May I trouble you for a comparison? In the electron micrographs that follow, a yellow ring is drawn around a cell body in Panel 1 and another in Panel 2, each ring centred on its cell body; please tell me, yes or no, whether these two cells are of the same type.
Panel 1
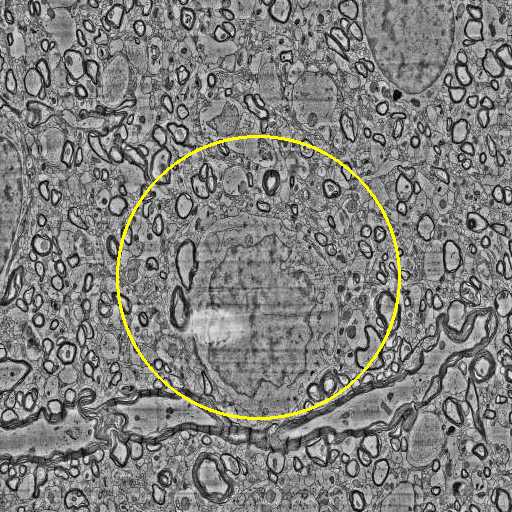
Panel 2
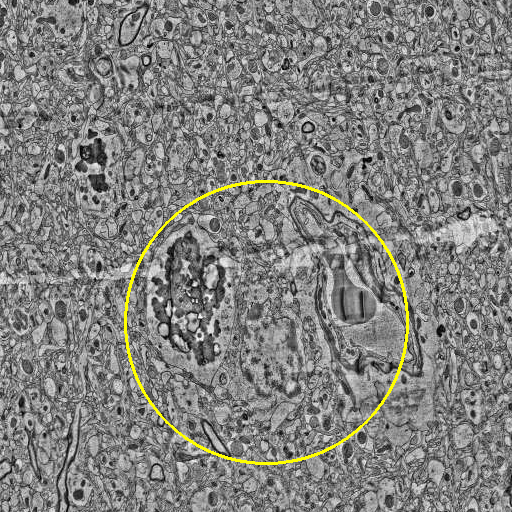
yes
